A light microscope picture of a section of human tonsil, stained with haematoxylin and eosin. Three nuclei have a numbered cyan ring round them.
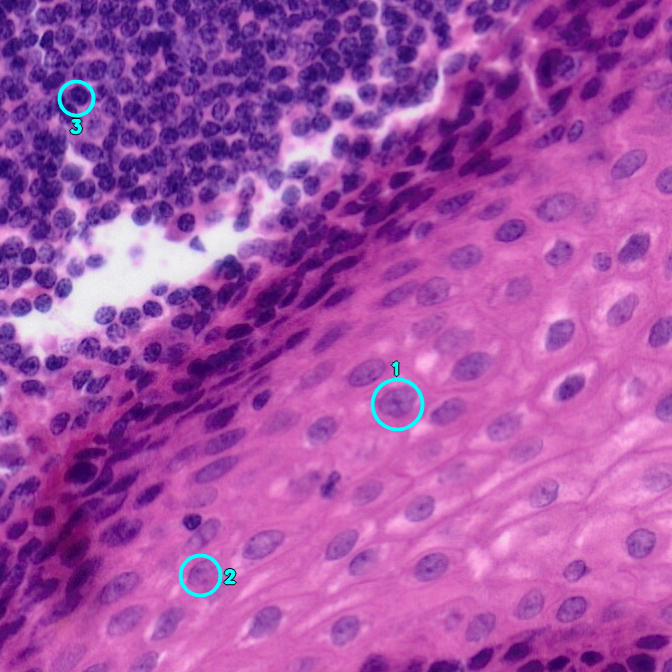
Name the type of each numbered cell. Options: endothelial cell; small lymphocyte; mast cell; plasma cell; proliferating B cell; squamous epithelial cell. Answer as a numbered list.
1. squamous epithelial cell
2. squamous epithelial cell
3. small lymphocyte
